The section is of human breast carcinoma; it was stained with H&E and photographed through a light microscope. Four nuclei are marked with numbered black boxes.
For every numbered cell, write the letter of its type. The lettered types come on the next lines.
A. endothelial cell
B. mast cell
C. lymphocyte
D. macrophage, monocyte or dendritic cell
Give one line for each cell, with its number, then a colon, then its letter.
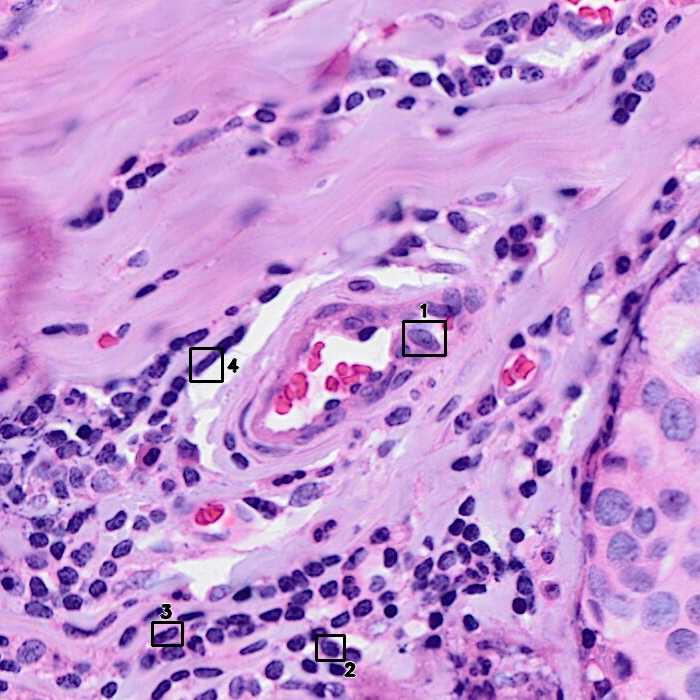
1: A
2: C
3: C
4: C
